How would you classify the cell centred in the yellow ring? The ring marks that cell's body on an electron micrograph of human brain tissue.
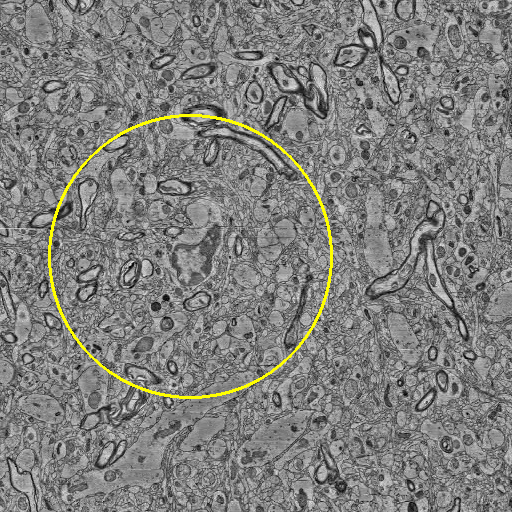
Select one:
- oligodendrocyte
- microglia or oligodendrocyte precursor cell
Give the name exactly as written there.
microglia or oligodendrocyte precursor cell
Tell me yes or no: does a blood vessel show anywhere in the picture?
No.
